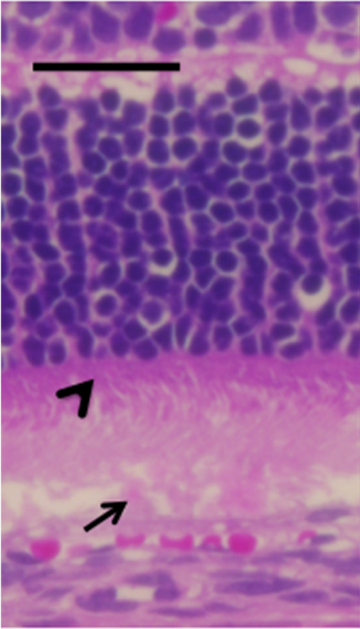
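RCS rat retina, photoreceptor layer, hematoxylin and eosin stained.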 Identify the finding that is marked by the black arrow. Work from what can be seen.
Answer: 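The arrow points to loose pale pink material just above the flat cell layer with red blood cells at the bottom. Small clear spaces lie among this material. That points to this answer: extracellular lamellar material.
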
